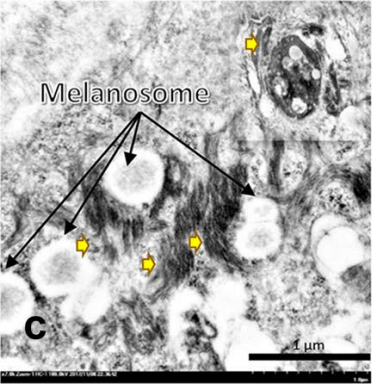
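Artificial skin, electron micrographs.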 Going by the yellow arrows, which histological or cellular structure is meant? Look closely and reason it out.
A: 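Cytoskeletal system. The arrows point to dark bundles of fine fibrils running through the cytoplasm. The fibril bundles pass between pale round bodies.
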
